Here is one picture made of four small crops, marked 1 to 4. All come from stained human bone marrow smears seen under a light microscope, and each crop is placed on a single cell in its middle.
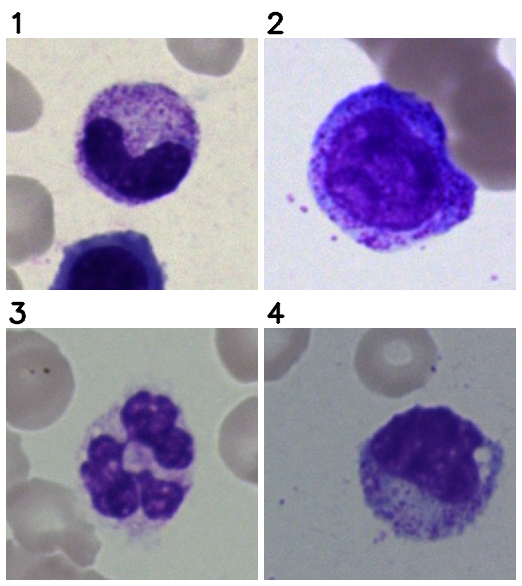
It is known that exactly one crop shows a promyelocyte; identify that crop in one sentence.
Among the crops given, only crop 2 shows a promyelocyte.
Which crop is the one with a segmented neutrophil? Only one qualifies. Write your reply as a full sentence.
Of these crops, it is crop 3 that shows a segmented neutrophil.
